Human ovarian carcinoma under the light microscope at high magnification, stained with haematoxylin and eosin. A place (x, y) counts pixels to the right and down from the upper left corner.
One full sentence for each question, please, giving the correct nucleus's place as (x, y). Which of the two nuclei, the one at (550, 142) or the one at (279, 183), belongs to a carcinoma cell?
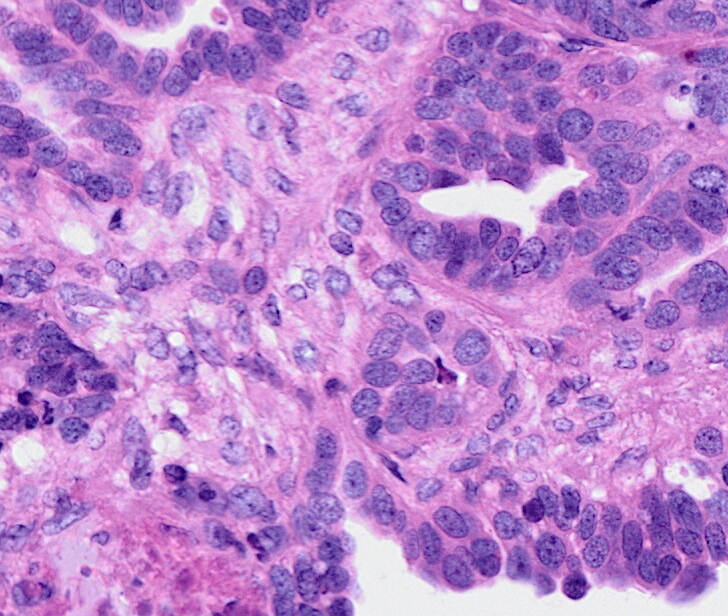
Among the two nuclei, the one lying at (550, 142) is part of a carcinoma cell.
